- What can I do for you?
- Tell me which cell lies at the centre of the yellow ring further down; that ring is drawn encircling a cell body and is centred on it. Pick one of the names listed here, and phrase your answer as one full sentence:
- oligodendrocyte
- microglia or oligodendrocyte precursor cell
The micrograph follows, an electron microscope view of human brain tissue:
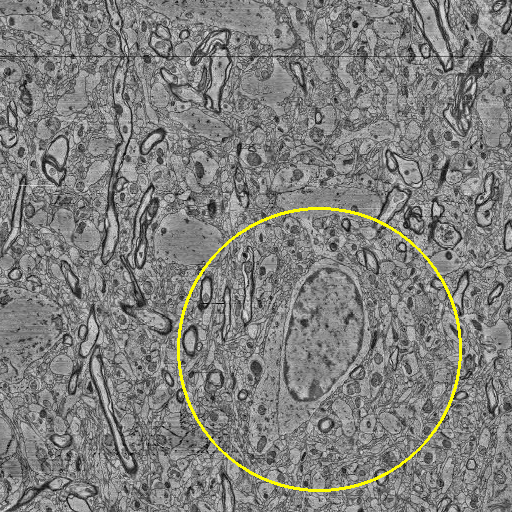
The cell whose body lies at the centre of the yellow ring is a microglial cell or oligodendrocyte precursor cell.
